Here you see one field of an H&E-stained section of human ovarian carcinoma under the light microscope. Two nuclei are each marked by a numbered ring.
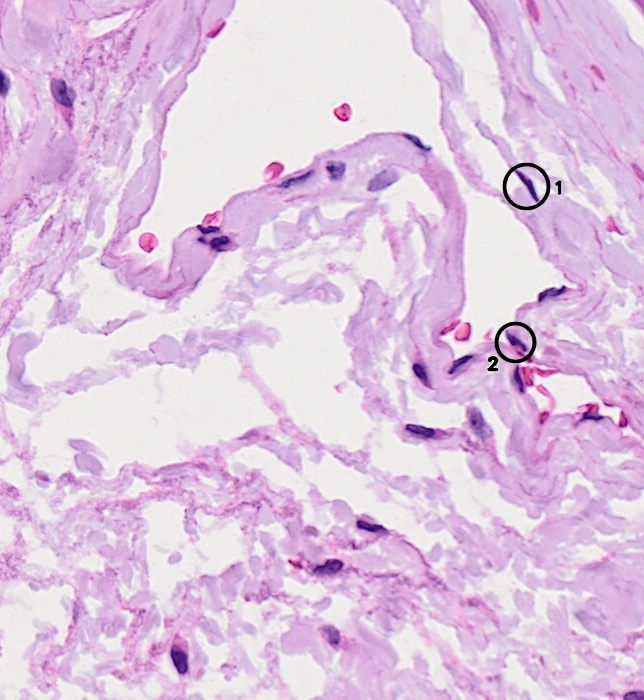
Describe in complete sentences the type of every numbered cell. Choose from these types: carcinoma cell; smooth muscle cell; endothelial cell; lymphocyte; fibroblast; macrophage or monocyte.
Cell 1 is a fibroblast. Cell 2 is an endothelial cell.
